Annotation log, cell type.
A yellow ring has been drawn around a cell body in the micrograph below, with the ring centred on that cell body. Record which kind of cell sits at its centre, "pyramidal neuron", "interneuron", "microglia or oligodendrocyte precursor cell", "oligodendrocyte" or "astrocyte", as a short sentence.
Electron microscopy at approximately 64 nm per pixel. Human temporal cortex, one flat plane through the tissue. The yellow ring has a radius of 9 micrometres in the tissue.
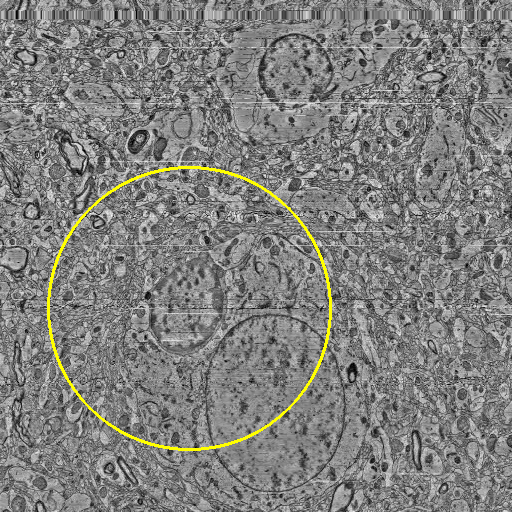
The cell at the centre of this ring is an oligodendrocyte.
